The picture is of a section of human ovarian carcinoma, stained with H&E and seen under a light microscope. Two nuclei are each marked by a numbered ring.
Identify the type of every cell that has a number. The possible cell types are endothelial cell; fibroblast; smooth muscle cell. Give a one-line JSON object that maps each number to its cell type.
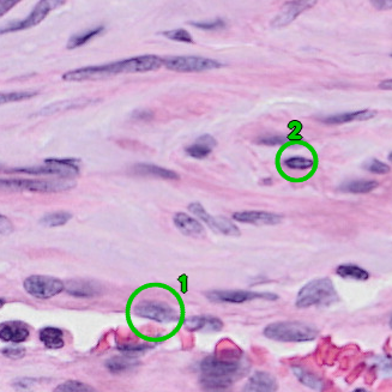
{"1": "endothelial cell", "2": "smooth muscle cell"}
